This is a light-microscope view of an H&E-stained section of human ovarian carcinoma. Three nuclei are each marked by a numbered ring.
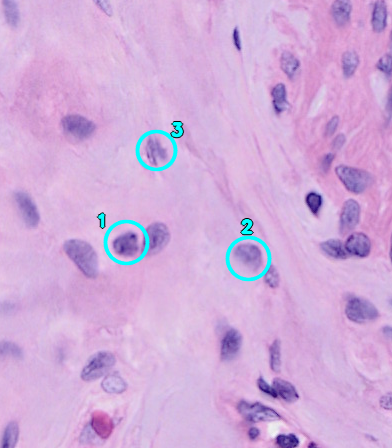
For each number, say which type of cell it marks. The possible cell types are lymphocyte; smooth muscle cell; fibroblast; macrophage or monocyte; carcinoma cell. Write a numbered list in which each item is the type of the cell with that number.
1. lymphocyte
2. fibroblast
3. fibroblast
